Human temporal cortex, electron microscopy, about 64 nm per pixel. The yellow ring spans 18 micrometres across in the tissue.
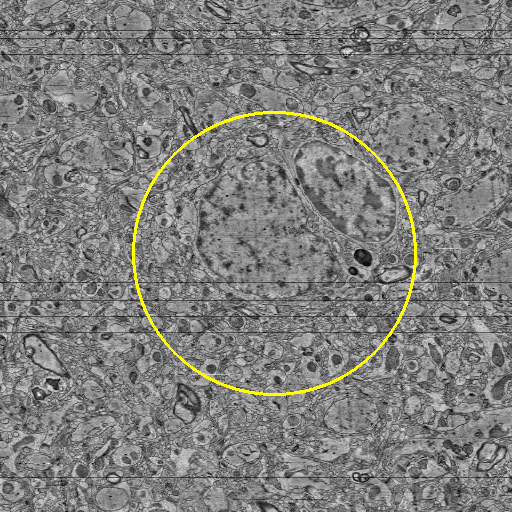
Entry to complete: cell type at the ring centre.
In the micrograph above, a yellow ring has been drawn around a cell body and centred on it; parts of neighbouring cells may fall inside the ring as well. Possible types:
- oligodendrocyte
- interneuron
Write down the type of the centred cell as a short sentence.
The ring is centred on an interneuron.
